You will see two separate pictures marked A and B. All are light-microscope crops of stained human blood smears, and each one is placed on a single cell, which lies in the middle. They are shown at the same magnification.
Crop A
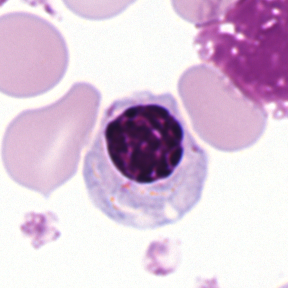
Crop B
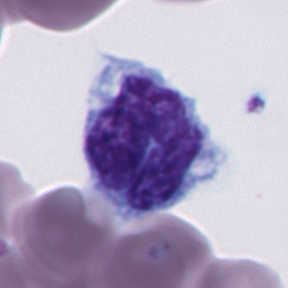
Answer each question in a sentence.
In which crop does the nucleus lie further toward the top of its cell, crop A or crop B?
It is the nucleus in crop A that lies further toward the top of its cell.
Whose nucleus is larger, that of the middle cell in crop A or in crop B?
It is the nucleus in crop B, about 2.5 times as large in area as the one in crop A.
